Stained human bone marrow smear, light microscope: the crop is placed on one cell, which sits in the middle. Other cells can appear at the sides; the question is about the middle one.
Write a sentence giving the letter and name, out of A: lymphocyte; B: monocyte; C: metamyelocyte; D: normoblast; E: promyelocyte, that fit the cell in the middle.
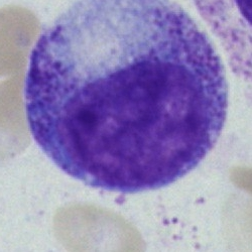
That cell in the center is a promyelocyte, hence option E.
